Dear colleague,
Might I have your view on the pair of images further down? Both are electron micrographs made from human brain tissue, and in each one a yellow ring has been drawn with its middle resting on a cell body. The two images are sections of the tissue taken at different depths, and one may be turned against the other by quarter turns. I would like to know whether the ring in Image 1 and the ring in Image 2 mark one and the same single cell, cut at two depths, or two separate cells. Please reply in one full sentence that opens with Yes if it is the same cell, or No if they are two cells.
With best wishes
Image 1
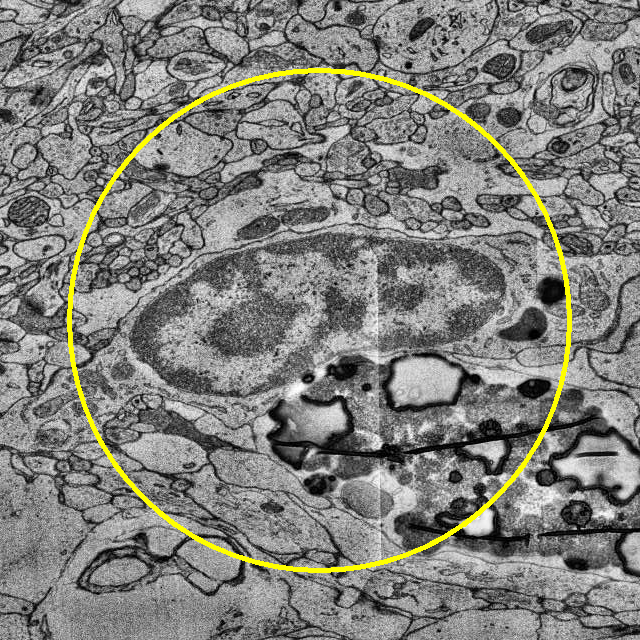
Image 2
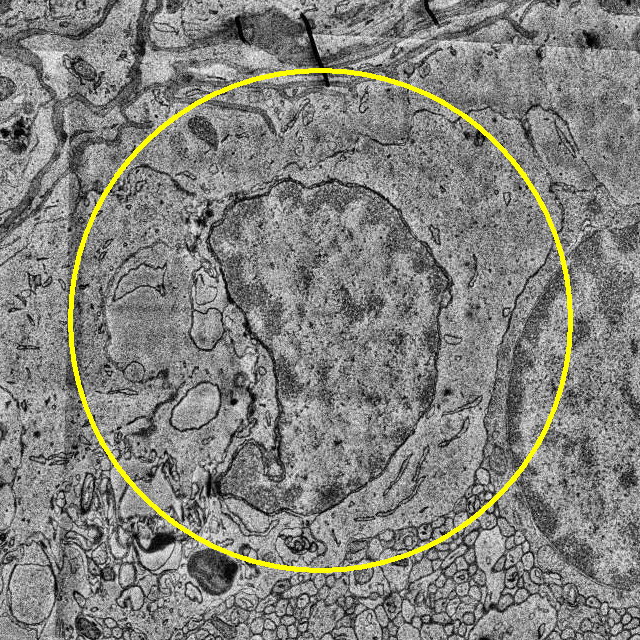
No, the cells inside the two rings are not the same cell.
